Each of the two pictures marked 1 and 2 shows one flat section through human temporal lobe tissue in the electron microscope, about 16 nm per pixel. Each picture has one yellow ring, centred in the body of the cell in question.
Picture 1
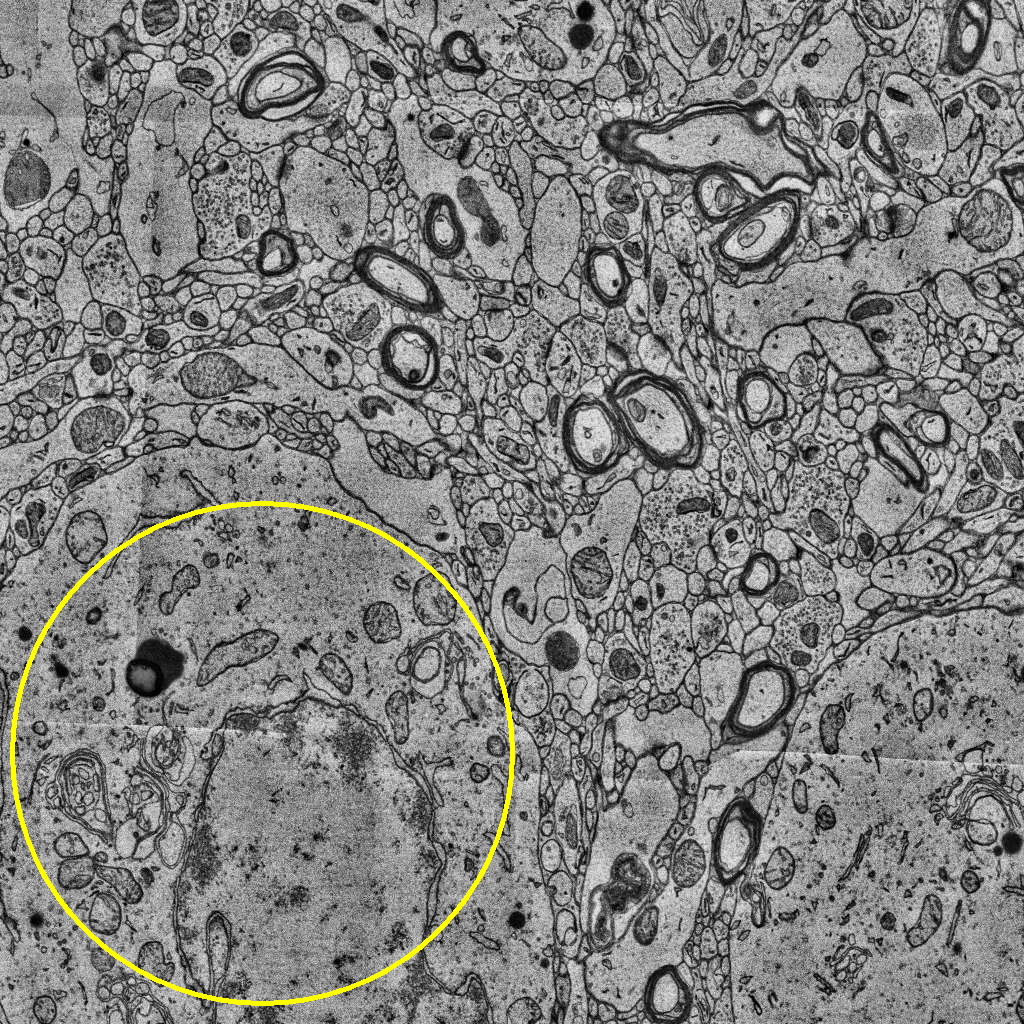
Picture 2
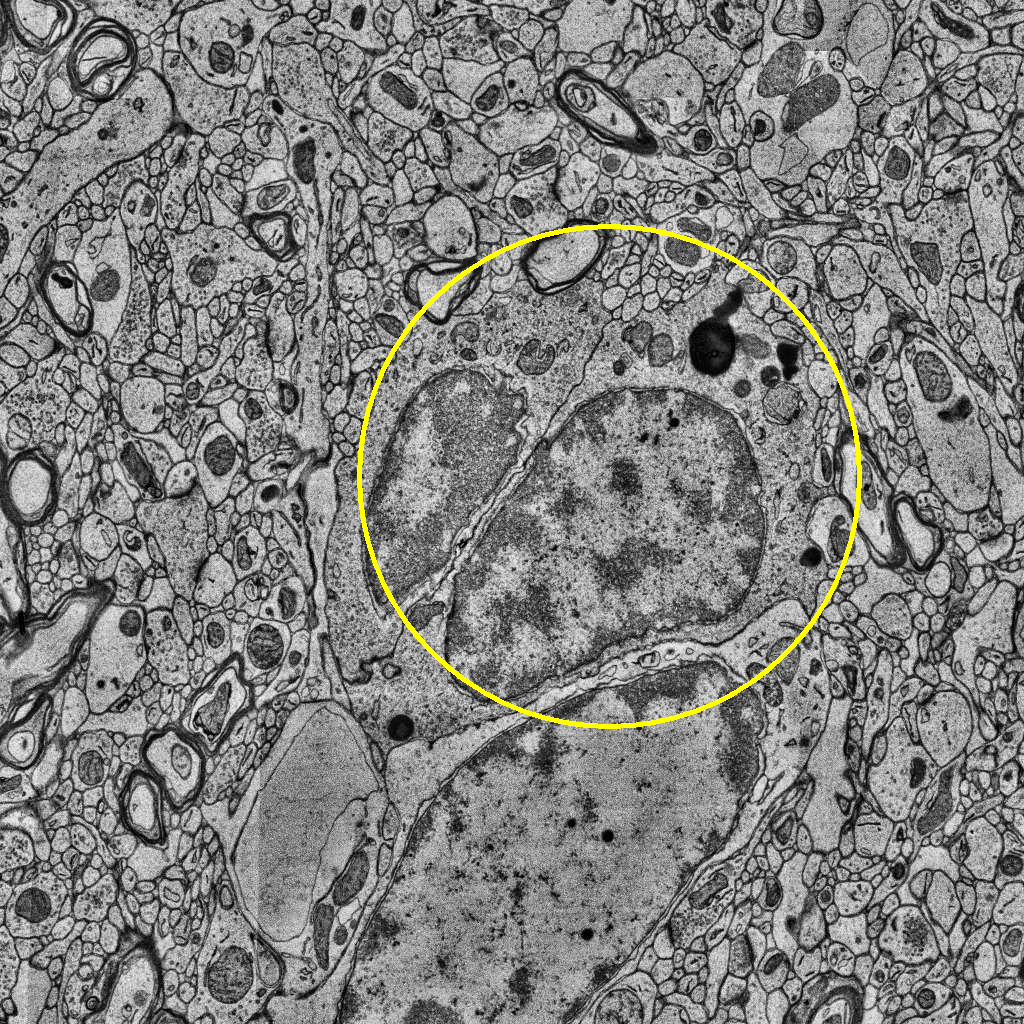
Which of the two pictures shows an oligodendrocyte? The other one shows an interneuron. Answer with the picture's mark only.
2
